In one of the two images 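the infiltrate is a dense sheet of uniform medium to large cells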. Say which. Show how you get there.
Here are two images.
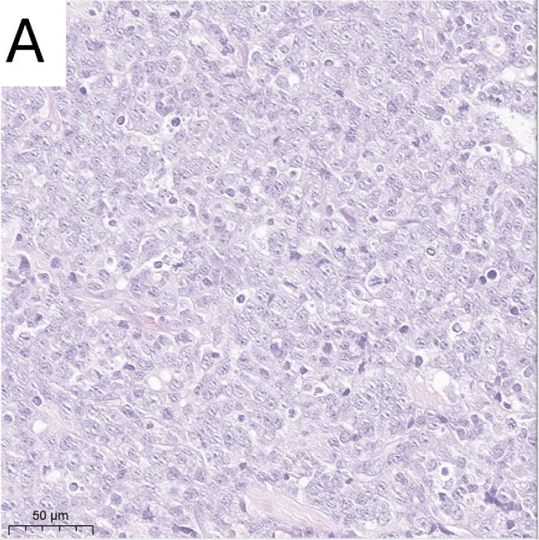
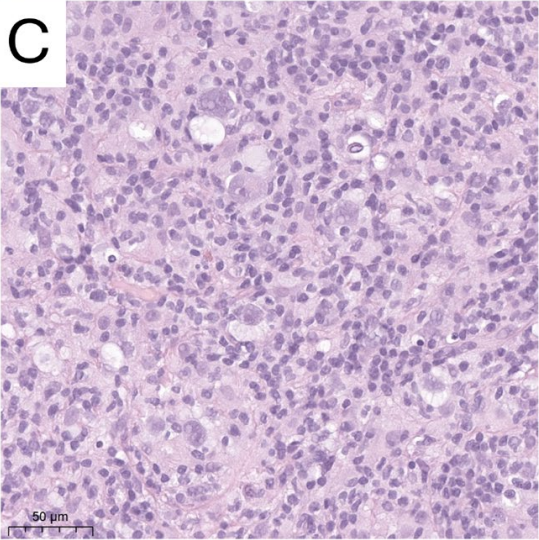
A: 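The first image. Second image: mostly small dark round nuclei mixed with scattered large pale cells. First image: a monotonous sheet of medium to large cells with larger paler nuclei.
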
